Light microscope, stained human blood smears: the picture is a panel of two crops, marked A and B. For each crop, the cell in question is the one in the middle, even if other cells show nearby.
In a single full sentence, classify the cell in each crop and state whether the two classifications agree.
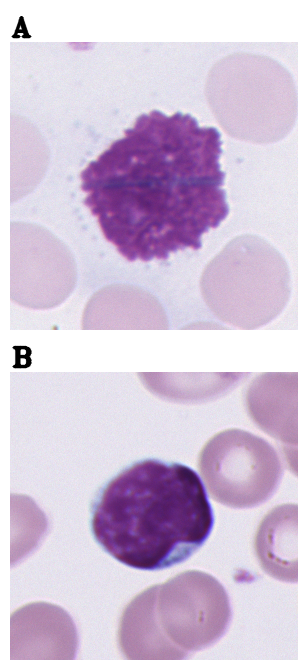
No, crop A should be called a smudge cell, and crop B should be called a typical lymphocyte.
